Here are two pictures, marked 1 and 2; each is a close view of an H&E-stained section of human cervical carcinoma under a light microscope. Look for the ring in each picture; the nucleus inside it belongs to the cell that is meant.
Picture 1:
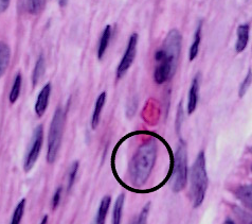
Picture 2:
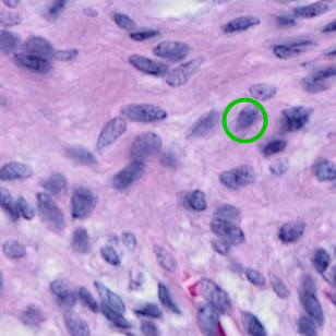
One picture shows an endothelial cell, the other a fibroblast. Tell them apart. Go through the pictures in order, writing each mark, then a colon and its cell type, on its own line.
1: endothelial cell
2: fibroblast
